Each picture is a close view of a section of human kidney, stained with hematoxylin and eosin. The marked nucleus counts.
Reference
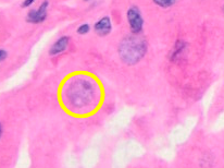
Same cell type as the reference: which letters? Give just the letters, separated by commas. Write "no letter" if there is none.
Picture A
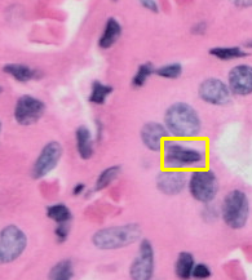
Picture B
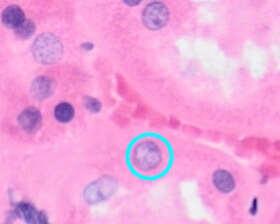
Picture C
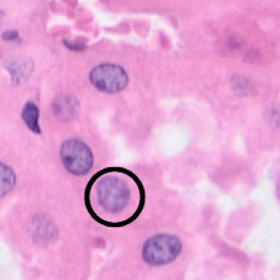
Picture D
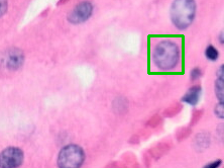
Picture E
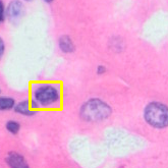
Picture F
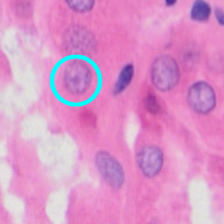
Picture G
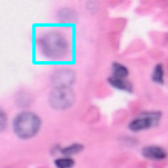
B, C, D, F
